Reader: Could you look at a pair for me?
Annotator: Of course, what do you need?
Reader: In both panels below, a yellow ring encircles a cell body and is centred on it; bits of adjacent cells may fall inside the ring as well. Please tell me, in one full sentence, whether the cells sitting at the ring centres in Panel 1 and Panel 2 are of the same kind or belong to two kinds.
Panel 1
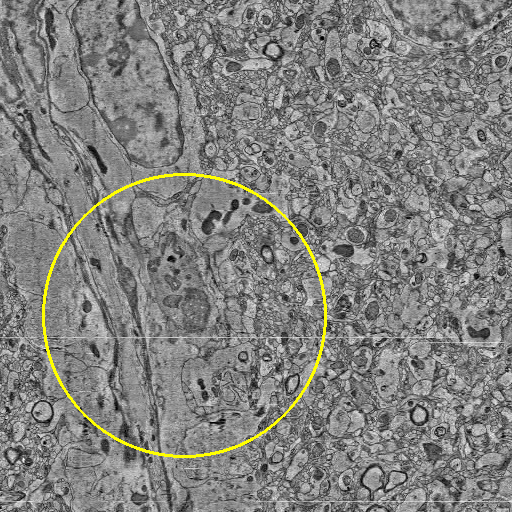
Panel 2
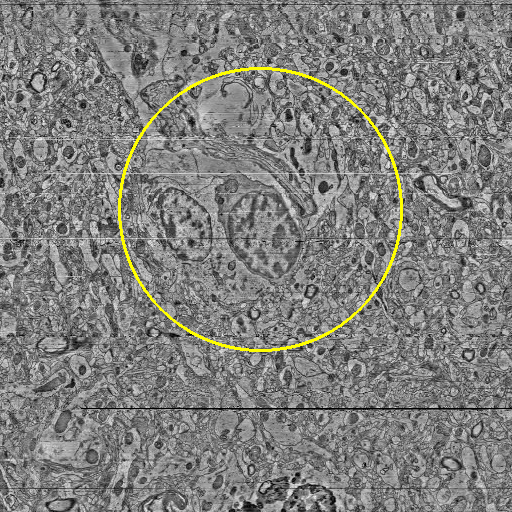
The cell at the ring's centre in Panel 1 and the one in Panel 2 are of the same kind.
